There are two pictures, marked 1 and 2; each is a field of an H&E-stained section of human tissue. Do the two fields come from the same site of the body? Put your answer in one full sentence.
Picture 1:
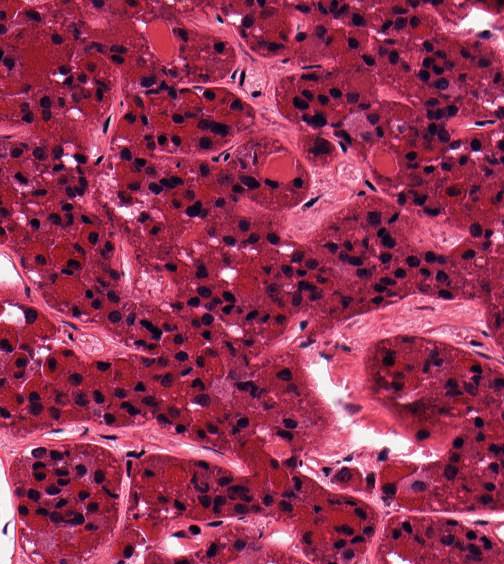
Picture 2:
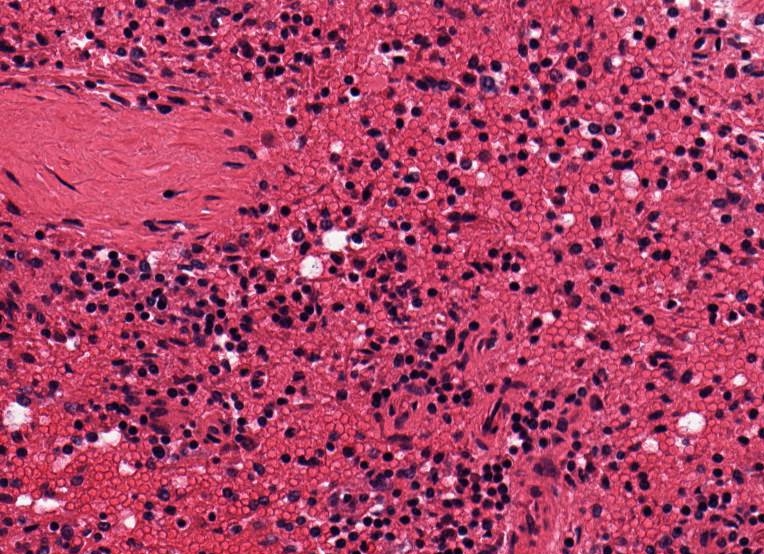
No: picture 1 comes from the pituitary, but picture 2 comes from the spleen.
